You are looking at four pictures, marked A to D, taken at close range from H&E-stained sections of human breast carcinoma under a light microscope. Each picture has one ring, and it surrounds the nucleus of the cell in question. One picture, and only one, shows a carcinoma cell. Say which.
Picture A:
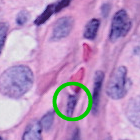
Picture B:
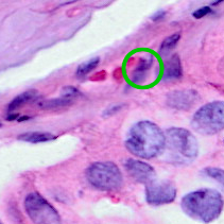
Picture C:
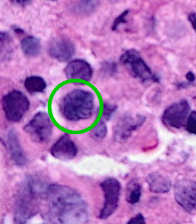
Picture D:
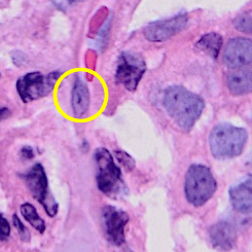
C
